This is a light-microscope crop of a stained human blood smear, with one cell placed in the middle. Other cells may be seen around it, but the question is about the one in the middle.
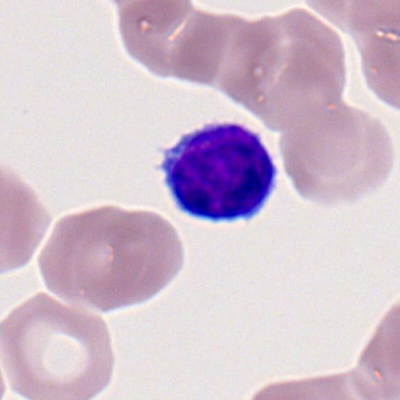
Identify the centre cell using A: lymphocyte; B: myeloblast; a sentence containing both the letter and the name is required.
Option A is correct in that the central cell is a lymphocyte.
